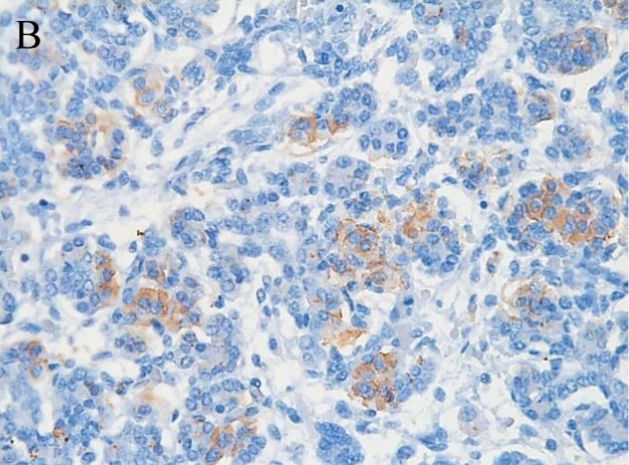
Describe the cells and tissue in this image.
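The epithelial cells have round central nuclei and modest cytoplasm. Several small clusters among them carry brown stain, partly along the cell borders. Loose connective tissue with spindle-shaped nuclei separates the groups.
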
